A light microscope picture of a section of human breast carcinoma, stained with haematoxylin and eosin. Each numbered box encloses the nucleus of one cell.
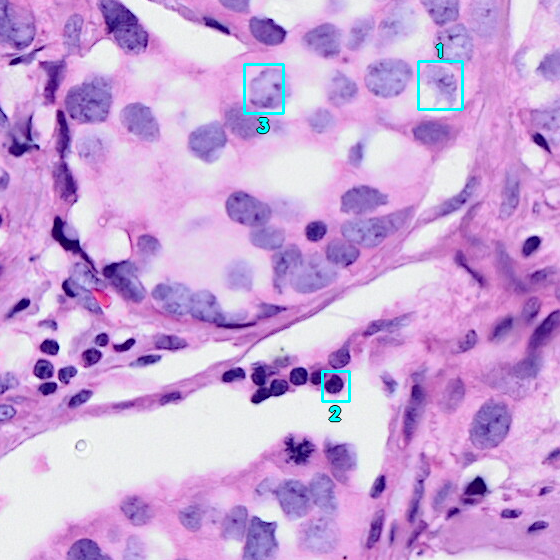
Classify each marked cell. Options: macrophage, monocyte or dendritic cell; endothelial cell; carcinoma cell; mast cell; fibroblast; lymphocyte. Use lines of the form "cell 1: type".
cell 1: carcinoma cell
cell 2: lymphocyte
cell 3: carcinoma cell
